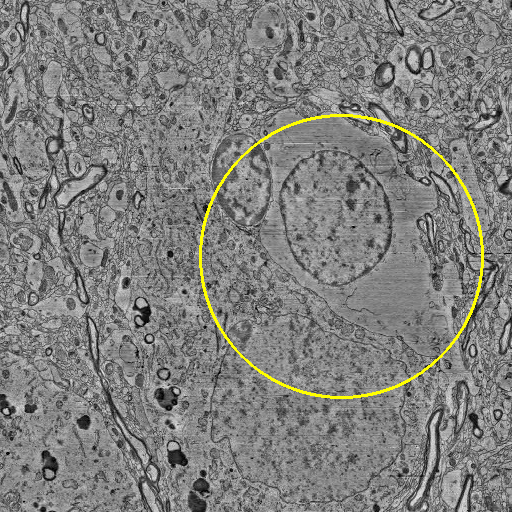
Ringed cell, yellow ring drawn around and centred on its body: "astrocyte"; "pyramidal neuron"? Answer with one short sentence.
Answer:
This ringed cell is an astrocyte.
